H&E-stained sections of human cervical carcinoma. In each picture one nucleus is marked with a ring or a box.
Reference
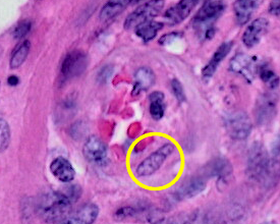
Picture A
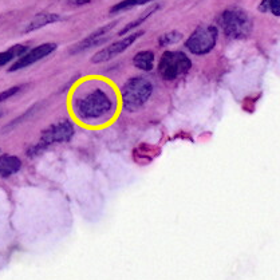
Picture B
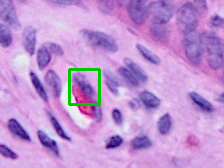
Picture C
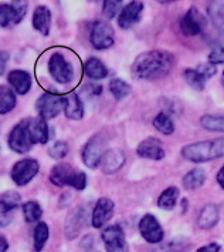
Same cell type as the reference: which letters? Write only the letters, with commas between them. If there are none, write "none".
B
